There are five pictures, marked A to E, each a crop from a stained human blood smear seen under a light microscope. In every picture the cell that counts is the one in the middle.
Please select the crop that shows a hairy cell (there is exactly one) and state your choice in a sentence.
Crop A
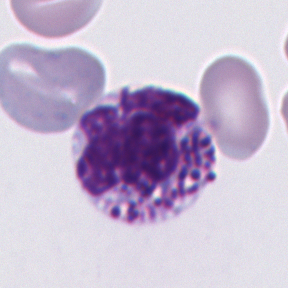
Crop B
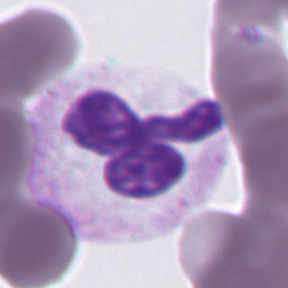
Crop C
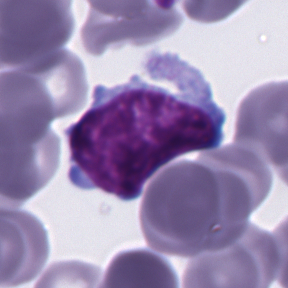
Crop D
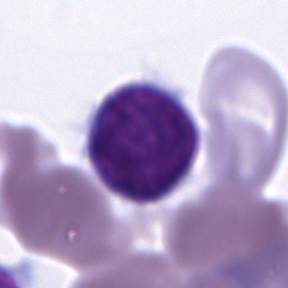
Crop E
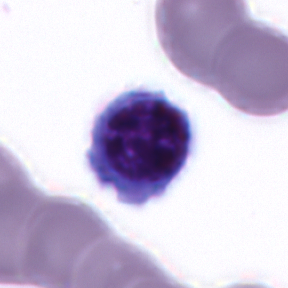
It is in crop D, among all the crops, that a hairy cell is present.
